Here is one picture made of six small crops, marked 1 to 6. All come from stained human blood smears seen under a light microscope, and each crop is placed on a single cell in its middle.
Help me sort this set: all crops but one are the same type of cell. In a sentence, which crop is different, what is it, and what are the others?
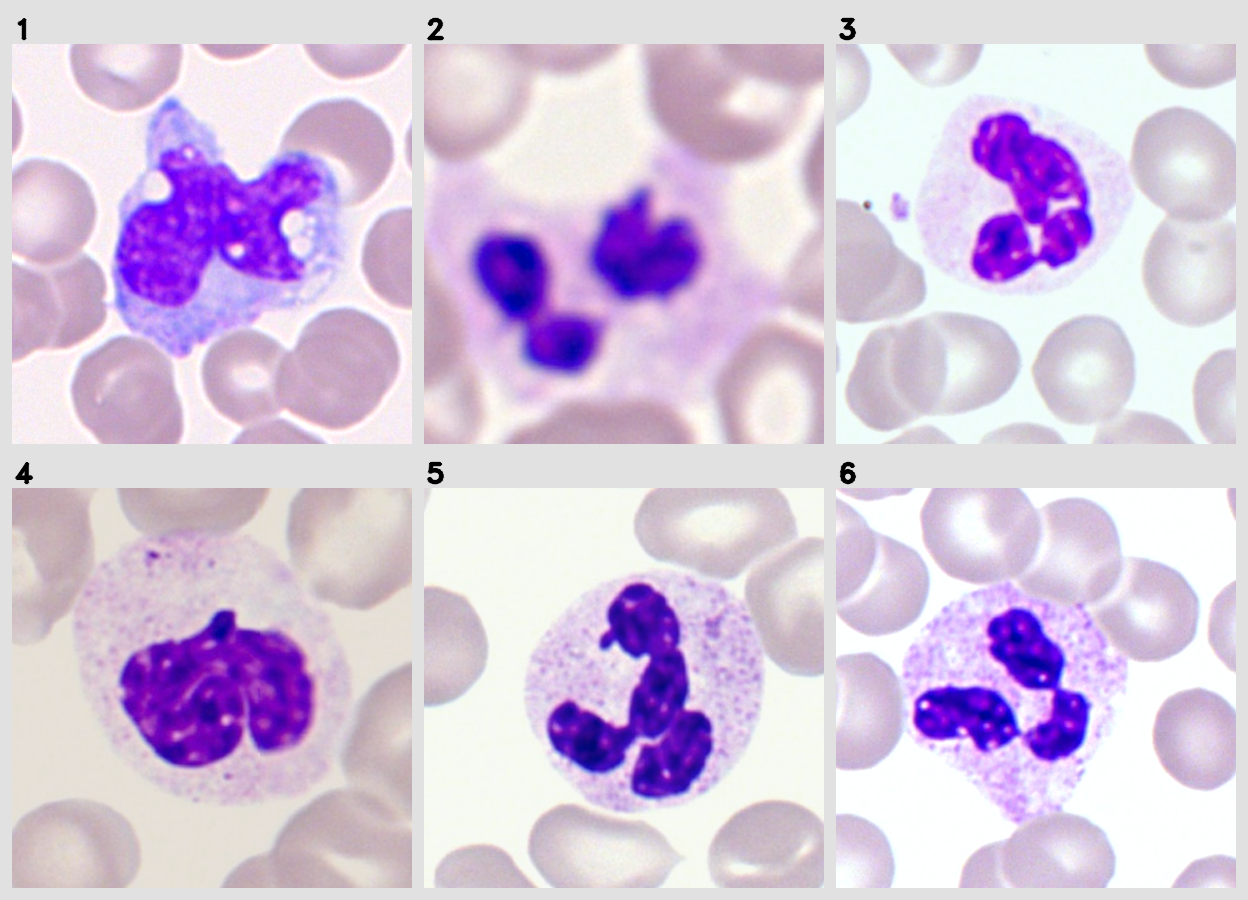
Crop 1 is different, showing a monocyte, whereas all the others show segmented neutrophils.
